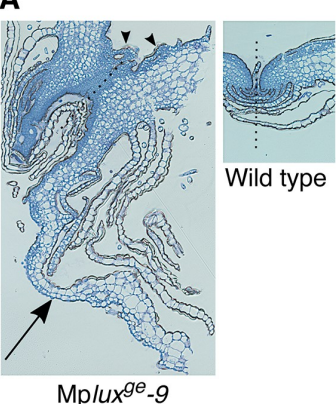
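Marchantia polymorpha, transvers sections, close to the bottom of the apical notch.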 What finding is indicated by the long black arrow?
Aberrant outgrowth of lobe-like tissue.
